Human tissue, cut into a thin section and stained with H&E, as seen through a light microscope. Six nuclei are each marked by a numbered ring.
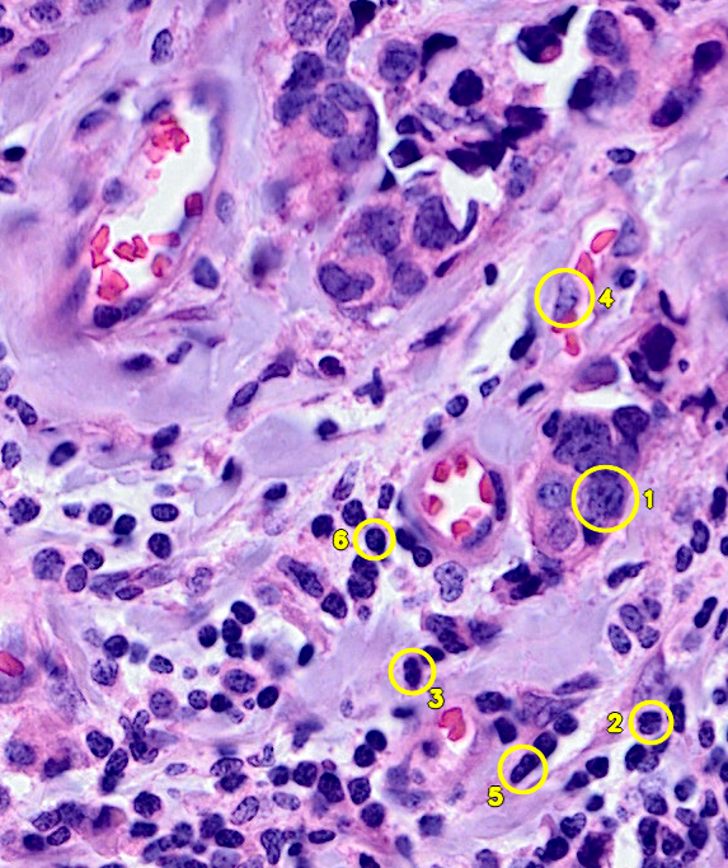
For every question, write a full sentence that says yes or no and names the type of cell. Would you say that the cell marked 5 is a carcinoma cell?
No, it is a lymphocyte, rather than a carcinoma cell, that carries number 5.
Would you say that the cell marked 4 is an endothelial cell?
Yes, on this slide, the cell with number 4 is an endothelial cell.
